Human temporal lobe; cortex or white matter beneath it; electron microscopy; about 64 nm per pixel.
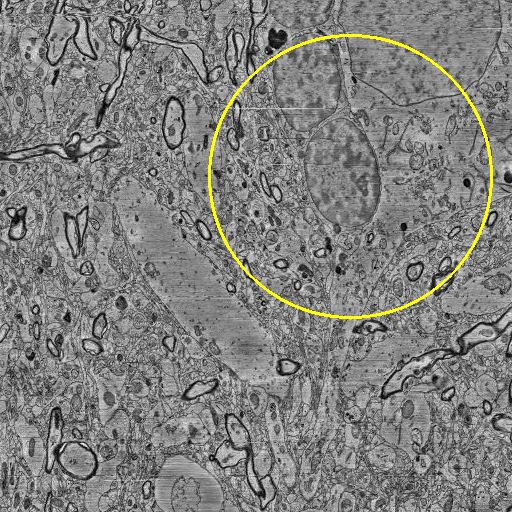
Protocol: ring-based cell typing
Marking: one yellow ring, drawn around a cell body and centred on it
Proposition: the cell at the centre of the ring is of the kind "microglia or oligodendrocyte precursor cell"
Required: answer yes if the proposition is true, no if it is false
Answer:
no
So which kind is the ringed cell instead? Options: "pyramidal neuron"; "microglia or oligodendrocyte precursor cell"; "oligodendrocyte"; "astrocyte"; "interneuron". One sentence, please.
Here, the ring is centred on an oligodendrocyte instead.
